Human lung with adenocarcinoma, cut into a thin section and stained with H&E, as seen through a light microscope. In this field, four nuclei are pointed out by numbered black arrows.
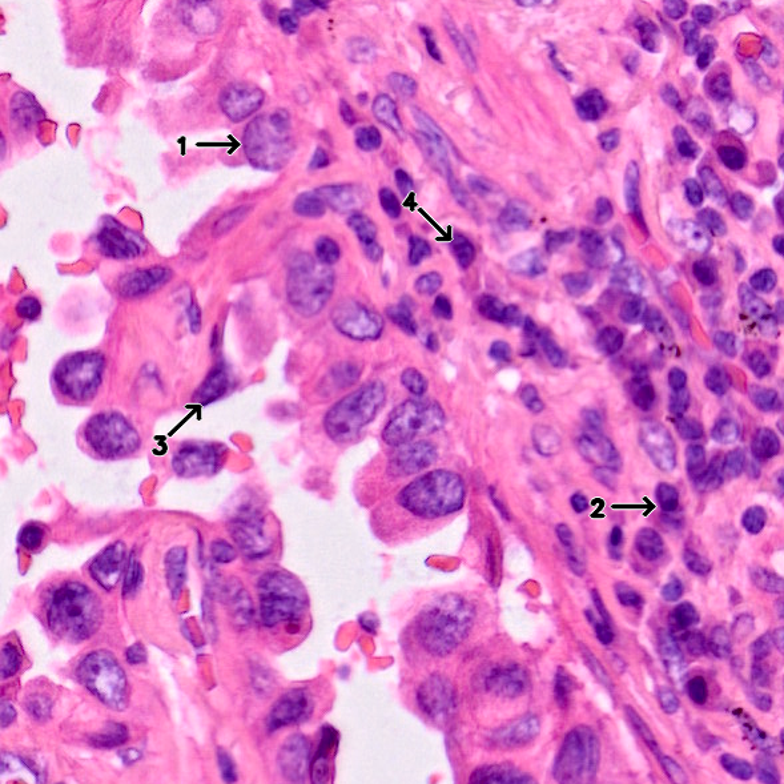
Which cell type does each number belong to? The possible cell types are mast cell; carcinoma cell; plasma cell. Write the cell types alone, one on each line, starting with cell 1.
carcinoma cell
plasma cell
carcinoma cell
plasma cell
